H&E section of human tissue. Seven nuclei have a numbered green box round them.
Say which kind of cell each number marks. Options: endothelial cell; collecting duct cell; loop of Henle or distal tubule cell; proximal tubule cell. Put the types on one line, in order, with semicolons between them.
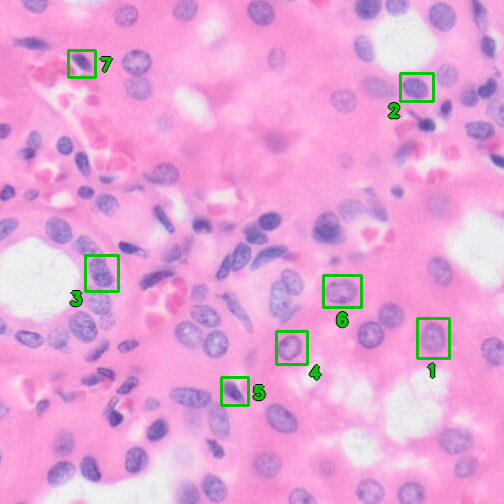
proximal tubule cell; collecting duct cell; collecting duct cell; proximal tubule cell; endothelial cell; proximal tubule cell; endothelial cell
